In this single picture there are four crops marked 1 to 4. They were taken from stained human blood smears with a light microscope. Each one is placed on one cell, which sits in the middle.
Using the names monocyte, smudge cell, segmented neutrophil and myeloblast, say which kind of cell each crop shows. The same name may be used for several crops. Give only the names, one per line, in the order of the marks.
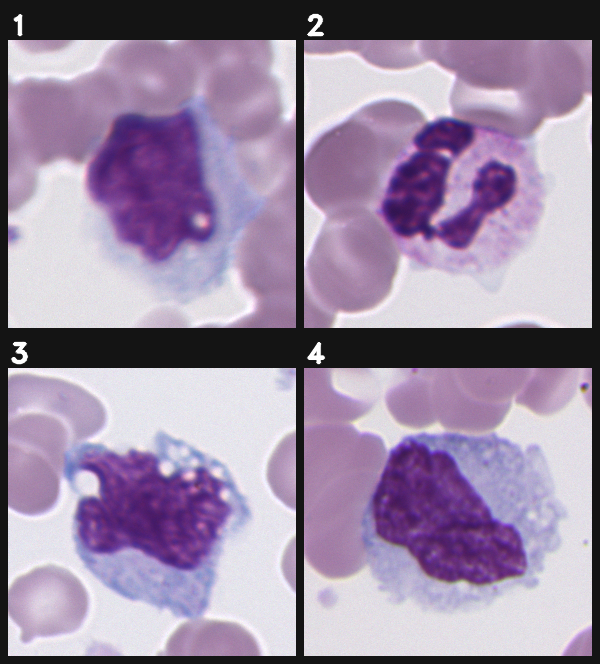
monocyte
segmented neutrophil
monocyte
monocyte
